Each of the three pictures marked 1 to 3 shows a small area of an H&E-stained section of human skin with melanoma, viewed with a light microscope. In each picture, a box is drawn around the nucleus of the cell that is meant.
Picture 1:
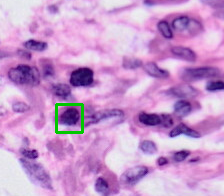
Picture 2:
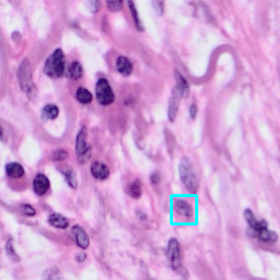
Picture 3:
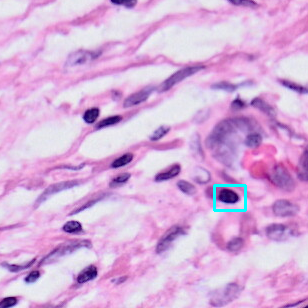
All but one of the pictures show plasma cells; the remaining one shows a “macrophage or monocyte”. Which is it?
2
